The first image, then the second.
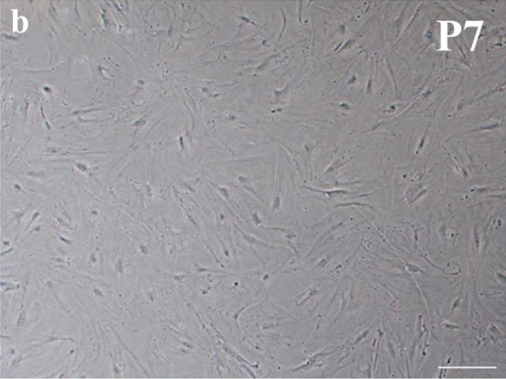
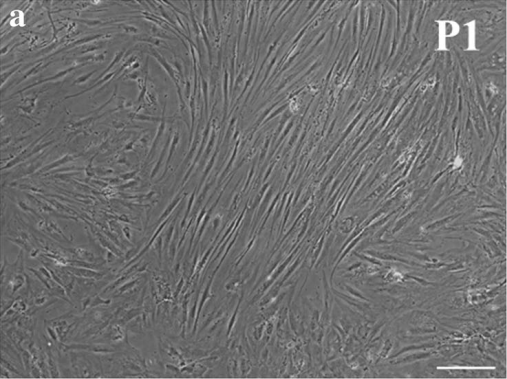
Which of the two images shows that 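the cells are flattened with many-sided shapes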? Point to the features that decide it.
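The first image. Second image: dense, slender spindle-shaped cells in parallel streams.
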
